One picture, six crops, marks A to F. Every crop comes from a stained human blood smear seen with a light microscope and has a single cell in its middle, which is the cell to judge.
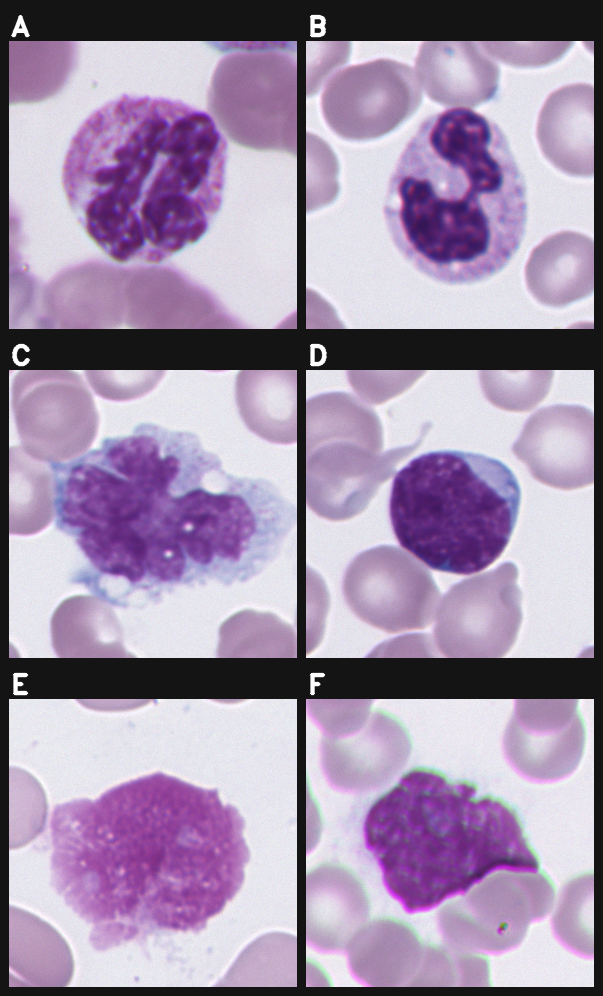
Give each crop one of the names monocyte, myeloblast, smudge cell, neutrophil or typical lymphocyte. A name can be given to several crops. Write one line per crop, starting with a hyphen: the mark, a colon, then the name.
- A: neutrophil
- B: neutrophil
- C: monocyte
- D: myeloblast
- E: smudge cell
- F: smudge cell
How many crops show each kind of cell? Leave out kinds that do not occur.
neutrophil: 2
smudge cell: 2
monocyte: 1
myeloblast: 1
